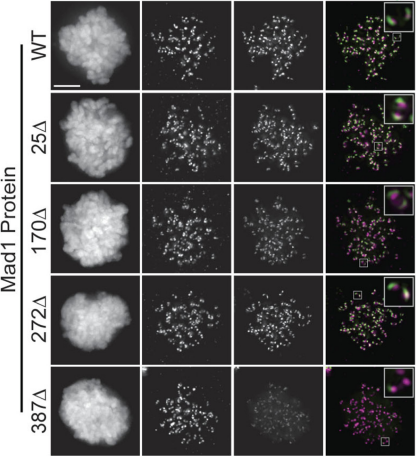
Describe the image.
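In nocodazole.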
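A grid of single cells in mitosis, one cell per row and one channel per column. In the grey DNA channel, each cell shows a compact, roughly round mass of condensed chromosomes with no intact nucleus. The magenta channel shows many small discrete dots scattered over the chromosome mass, one to two per chromosome. The green channel shows similar dots in most rows. In the overlay the green dots sit next to or overlap the magenta dots, appearing as paired magenta-green foci in the enlarged insets. In the bottom row the green dots are much fainter than in the rows above.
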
